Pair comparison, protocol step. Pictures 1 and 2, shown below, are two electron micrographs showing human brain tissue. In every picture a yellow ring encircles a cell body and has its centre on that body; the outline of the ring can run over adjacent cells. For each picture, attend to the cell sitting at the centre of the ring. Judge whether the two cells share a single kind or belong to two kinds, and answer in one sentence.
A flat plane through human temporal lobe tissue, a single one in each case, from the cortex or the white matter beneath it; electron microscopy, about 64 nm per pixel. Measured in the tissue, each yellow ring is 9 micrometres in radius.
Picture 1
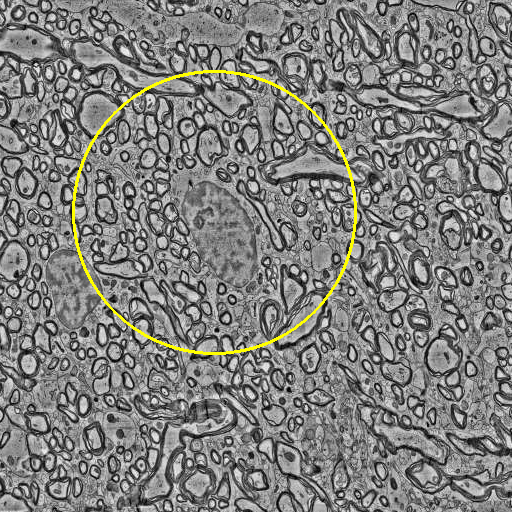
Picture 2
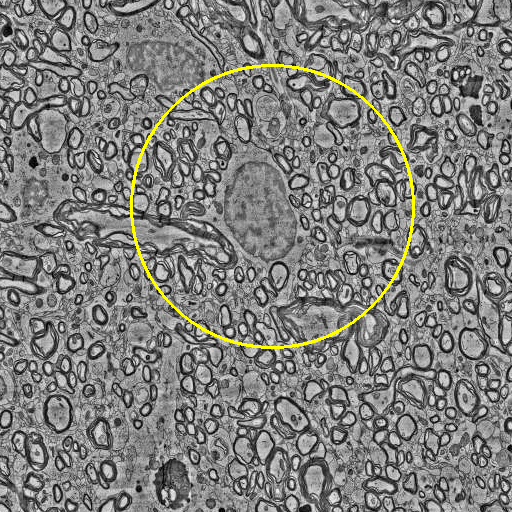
The two cells at the ring centres in Picture 1 and Picture 2 share a single kind.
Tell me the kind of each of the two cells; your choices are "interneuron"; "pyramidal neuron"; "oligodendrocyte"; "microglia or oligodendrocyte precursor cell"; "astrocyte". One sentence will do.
In both pictures the ring is centred on an oligodendrocyte.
